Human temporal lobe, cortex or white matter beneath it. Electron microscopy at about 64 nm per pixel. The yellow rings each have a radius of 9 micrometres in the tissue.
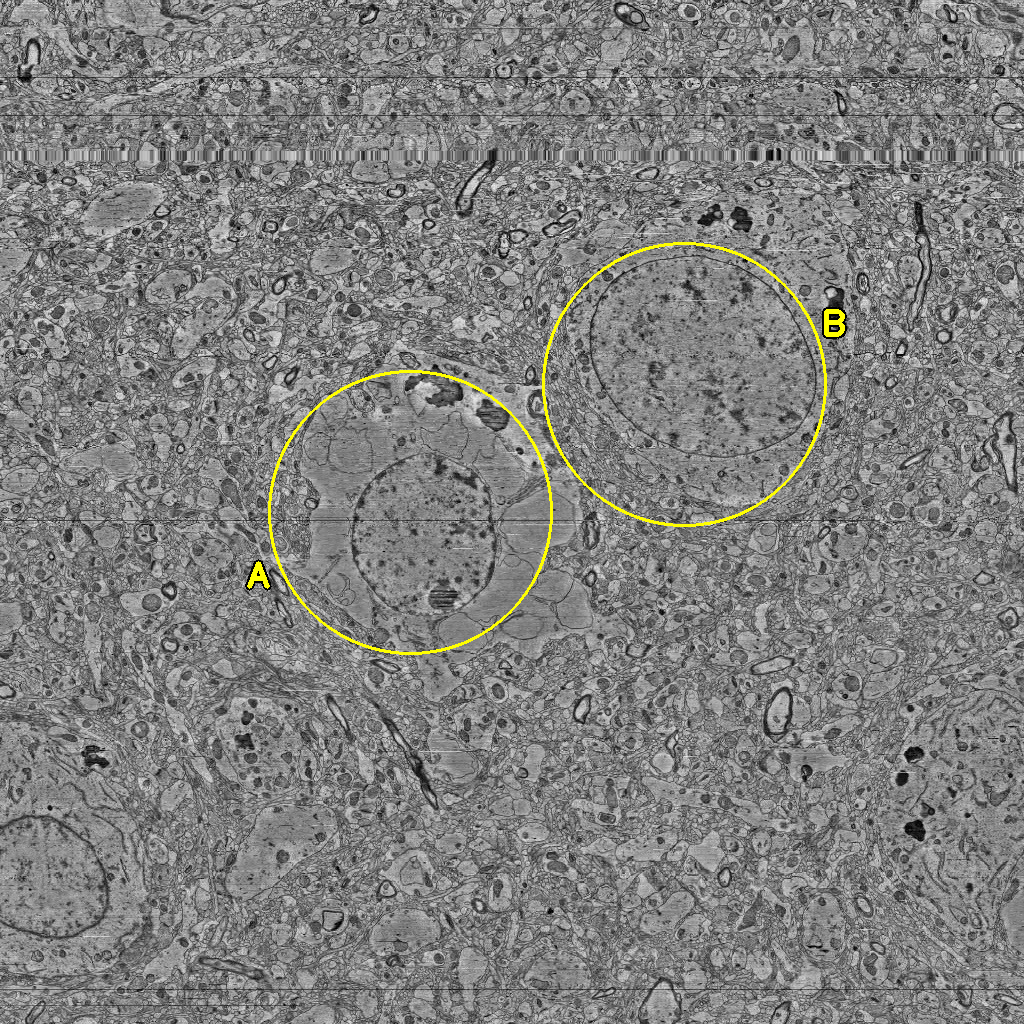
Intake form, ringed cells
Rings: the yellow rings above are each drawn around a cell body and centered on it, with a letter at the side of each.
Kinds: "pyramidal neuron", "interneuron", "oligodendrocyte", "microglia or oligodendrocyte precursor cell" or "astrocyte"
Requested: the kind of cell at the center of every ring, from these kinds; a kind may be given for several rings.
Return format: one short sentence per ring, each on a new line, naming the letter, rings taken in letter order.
In the center of ring A there is an astrocyte.
In the center of ring B there is a pyramidal neuron.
